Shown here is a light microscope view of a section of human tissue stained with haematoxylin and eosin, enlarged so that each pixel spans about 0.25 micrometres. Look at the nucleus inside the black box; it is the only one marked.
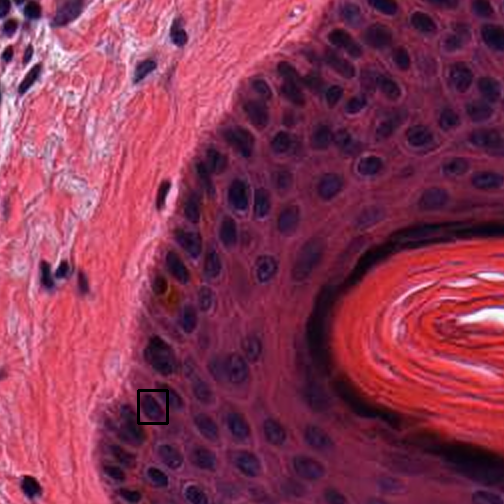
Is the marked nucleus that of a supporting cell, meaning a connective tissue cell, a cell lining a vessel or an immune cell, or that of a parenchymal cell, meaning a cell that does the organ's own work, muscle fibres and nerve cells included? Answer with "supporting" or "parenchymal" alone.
parenchymal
